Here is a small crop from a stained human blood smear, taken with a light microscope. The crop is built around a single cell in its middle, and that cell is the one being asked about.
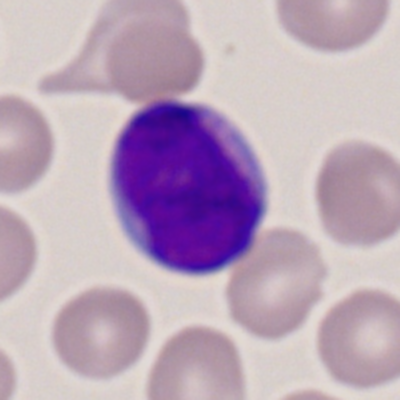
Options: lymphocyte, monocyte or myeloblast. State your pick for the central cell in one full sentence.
The cell at the middle of the crop is recognized as a myeloblast.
